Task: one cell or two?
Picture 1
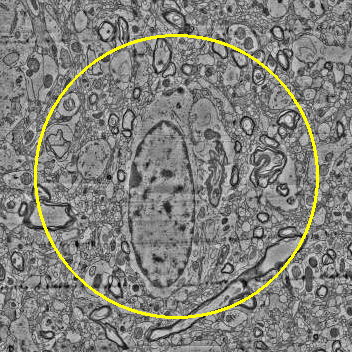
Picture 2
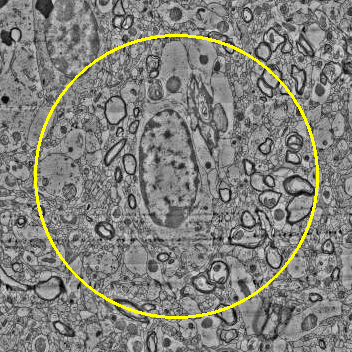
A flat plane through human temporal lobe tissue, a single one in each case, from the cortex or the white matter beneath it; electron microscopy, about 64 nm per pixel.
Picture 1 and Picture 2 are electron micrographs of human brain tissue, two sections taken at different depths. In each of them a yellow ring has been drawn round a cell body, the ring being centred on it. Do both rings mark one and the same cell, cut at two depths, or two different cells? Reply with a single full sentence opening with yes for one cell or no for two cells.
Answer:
Yes, each ring singles out the same cell.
